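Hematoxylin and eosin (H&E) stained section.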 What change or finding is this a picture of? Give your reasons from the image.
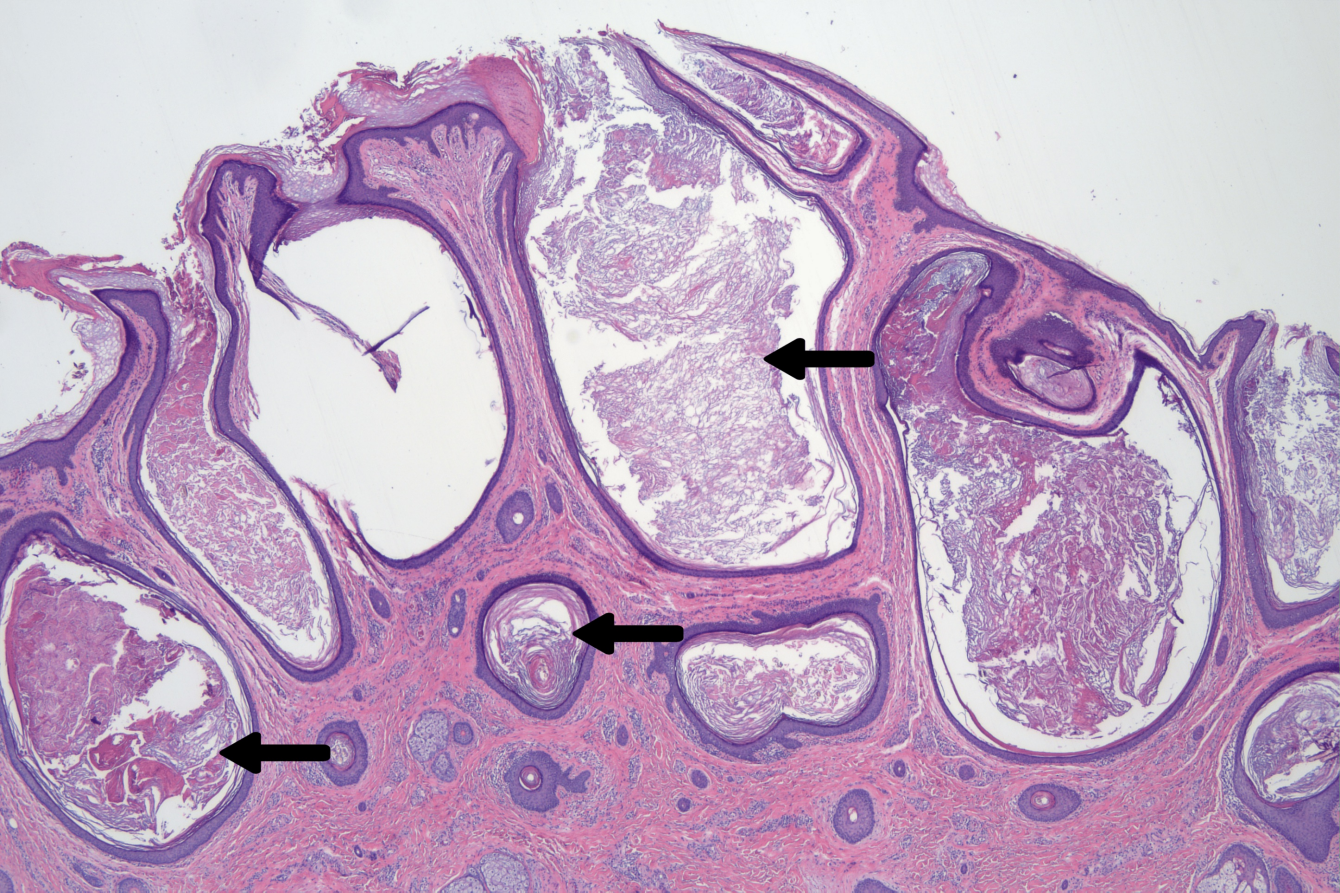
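Cystic proliferation of dilated follicles. Many large, dilated, epithelium-lined cavities lie side by side beneath the surface. Several of the cavities open toward the surface epithelium. The lesion forms a broad, raised plaque.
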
